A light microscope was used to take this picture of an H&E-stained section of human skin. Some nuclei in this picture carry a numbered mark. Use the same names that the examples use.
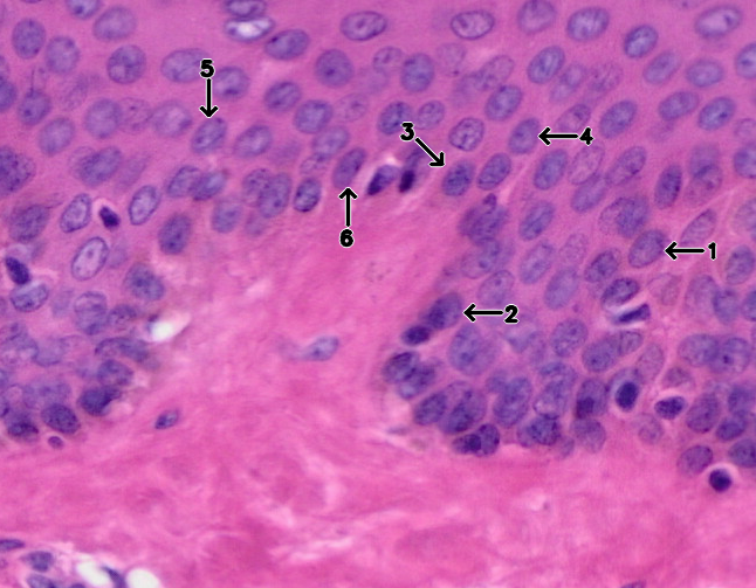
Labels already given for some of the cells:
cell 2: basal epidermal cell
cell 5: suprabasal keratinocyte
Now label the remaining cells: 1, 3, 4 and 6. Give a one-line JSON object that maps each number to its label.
{"1": "basal epidermal cell", "3": "basal epidermal cell", "4": "suprabasal keratinocyte", "6": "basal epidermal cell"}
